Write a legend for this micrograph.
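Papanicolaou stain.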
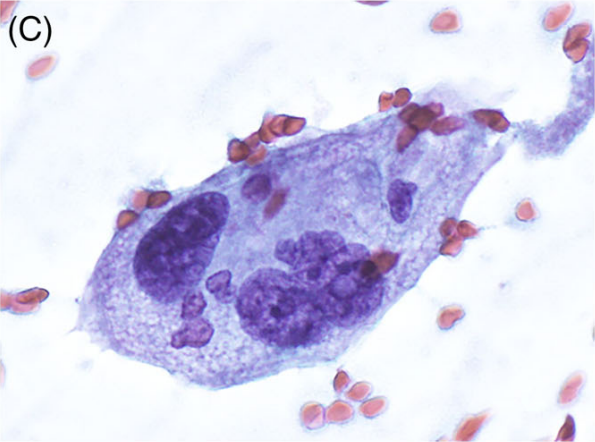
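A single isolated giant multinucleated tumour cell lies among scattered orange-red erythrocytes. The pale blue-purple cytoplasm is finely microvacuolated throughout. Some red cells overlie the cell surface.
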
